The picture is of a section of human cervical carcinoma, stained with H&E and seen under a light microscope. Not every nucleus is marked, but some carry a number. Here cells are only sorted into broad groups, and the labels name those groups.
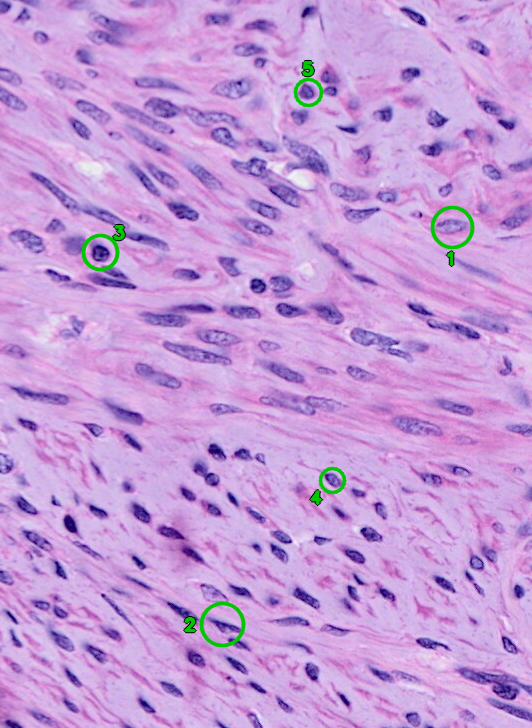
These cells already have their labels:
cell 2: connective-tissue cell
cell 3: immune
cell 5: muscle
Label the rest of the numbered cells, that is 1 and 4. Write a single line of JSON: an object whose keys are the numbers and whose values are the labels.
{"1": "muscle", "4": "muscle"}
